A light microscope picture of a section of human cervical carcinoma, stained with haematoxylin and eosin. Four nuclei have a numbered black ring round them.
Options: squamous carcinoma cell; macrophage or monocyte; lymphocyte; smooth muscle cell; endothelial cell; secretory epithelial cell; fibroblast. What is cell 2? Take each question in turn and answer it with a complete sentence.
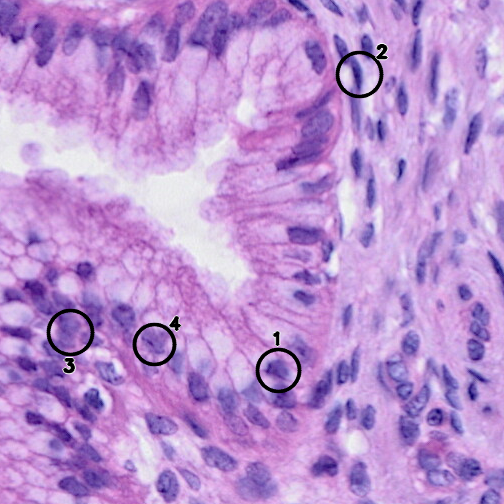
The cell bearing label 2 corresponds to a fibroblast.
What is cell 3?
The cell numbered 3 represents a secretory epithelial cell.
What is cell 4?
Here, the cell given the number 4 is a secretory epithelial cell.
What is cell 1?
The cell numbered 1 has been identified as a secretory epithelial cell.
